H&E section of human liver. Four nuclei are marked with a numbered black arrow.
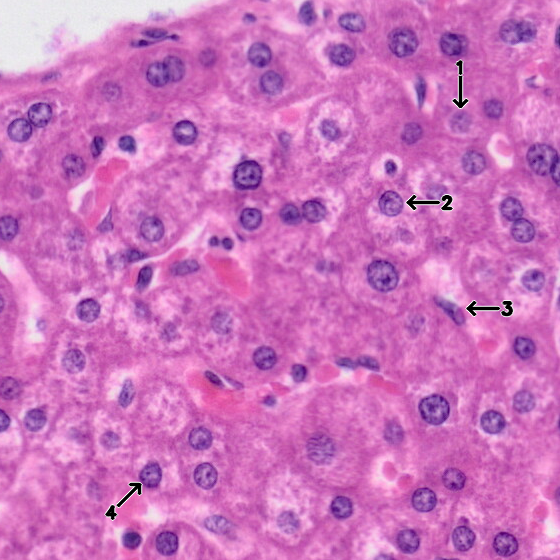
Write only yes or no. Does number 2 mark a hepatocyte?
yes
